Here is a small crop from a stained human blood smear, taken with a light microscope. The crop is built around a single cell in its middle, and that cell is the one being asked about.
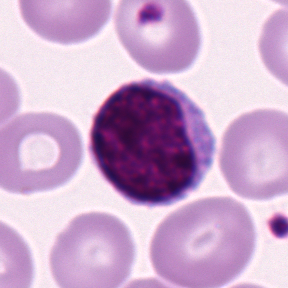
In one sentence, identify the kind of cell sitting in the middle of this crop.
The middle of this crop is occupied by a large granular lymphocyte.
